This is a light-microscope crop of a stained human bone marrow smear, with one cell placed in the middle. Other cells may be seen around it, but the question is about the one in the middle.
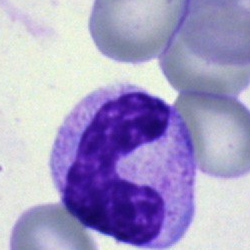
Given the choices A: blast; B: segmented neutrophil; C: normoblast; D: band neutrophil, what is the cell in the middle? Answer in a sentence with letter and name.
With the cell in the middle being a band neutrophil, option D is the correct choice.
